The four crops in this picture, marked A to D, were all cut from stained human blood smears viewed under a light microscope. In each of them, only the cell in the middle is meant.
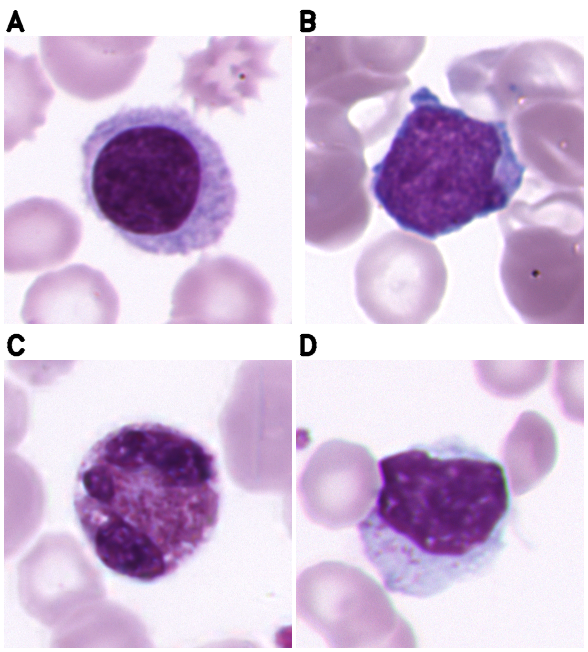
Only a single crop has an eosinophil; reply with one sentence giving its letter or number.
Crop C, and no other, shows an eosinophil.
